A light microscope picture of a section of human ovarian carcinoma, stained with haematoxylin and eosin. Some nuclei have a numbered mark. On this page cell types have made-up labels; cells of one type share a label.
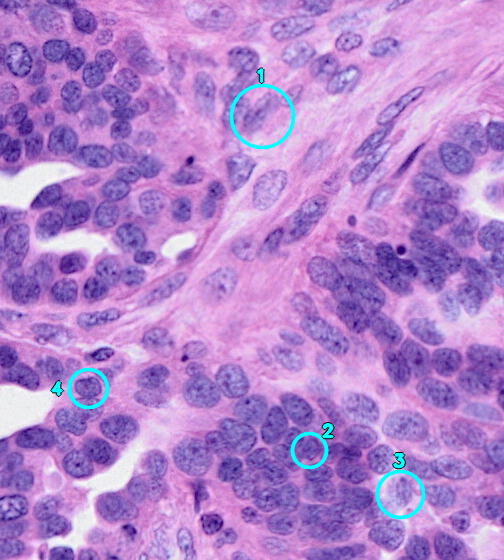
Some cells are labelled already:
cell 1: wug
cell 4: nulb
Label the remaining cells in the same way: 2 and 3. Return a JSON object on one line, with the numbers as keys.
{"2": "nulb", "3": "nulb"}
